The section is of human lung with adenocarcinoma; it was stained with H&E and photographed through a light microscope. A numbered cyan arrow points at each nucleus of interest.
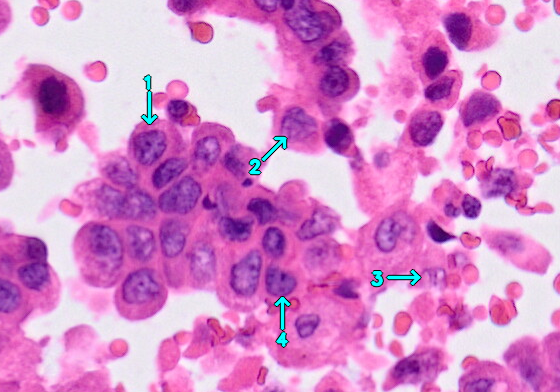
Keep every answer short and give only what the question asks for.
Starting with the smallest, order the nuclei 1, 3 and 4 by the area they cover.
3, 4, 1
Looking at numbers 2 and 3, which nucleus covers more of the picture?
2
